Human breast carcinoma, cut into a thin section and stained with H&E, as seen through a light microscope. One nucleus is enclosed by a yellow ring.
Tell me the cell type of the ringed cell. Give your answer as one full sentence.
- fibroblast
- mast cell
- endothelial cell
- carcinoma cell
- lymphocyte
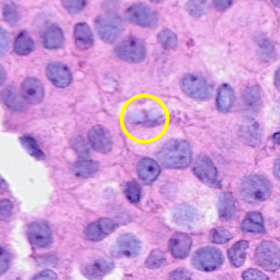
Cell type answer for this item: the ringed cell is a carcinoma cell.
